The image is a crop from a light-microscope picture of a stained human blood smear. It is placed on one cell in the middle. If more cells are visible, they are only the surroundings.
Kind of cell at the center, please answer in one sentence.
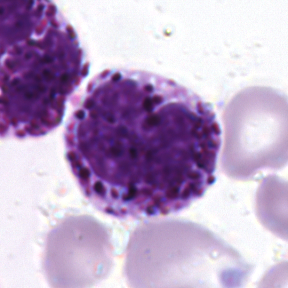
For this crop, the central cell is a basophil.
